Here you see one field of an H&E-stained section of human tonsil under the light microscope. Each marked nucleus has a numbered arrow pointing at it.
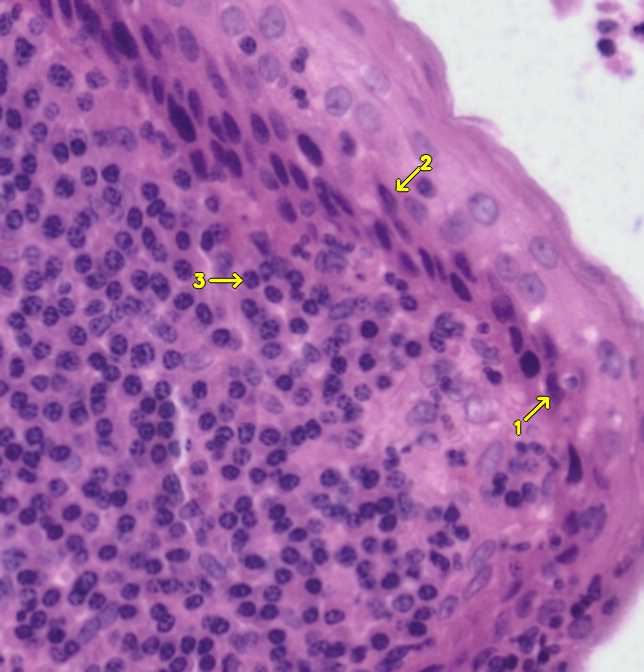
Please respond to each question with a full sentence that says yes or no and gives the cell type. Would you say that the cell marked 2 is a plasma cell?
No, cell 2 is not a plasma cell; a squamous epithelial cell is the correct identification.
